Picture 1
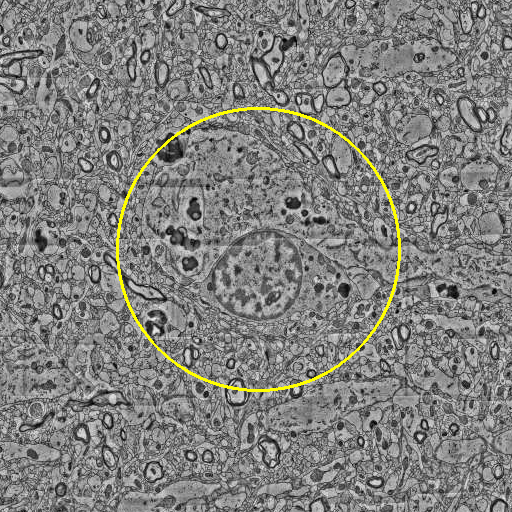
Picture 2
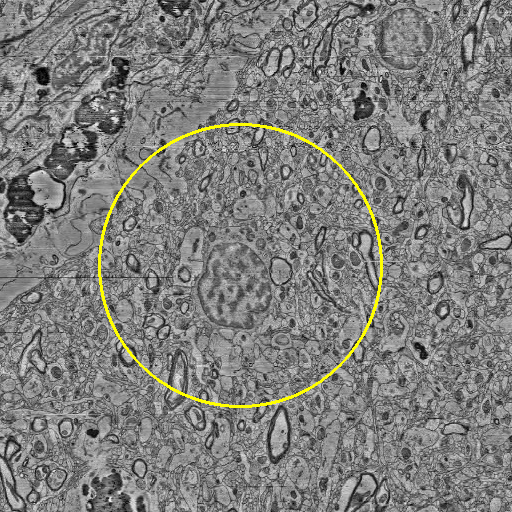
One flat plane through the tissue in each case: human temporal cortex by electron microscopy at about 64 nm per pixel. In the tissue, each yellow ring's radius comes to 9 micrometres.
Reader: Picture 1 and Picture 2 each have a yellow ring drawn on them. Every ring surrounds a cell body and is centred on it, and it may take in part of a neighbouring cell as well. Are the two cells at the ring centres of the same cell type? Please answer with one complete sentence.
Yes, both cells are of the same cell type.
